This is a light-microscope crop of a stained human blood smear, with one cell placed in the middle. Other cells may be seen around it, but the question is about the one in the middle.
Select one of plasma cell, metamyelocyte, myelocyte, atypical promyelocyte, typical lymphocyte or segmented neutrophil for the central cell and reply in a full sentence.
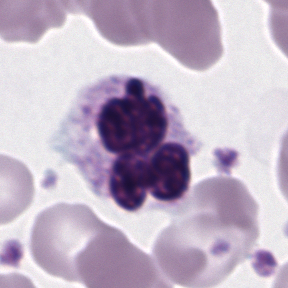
The cell of interest, located centrally, is a segmented neutrophil.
